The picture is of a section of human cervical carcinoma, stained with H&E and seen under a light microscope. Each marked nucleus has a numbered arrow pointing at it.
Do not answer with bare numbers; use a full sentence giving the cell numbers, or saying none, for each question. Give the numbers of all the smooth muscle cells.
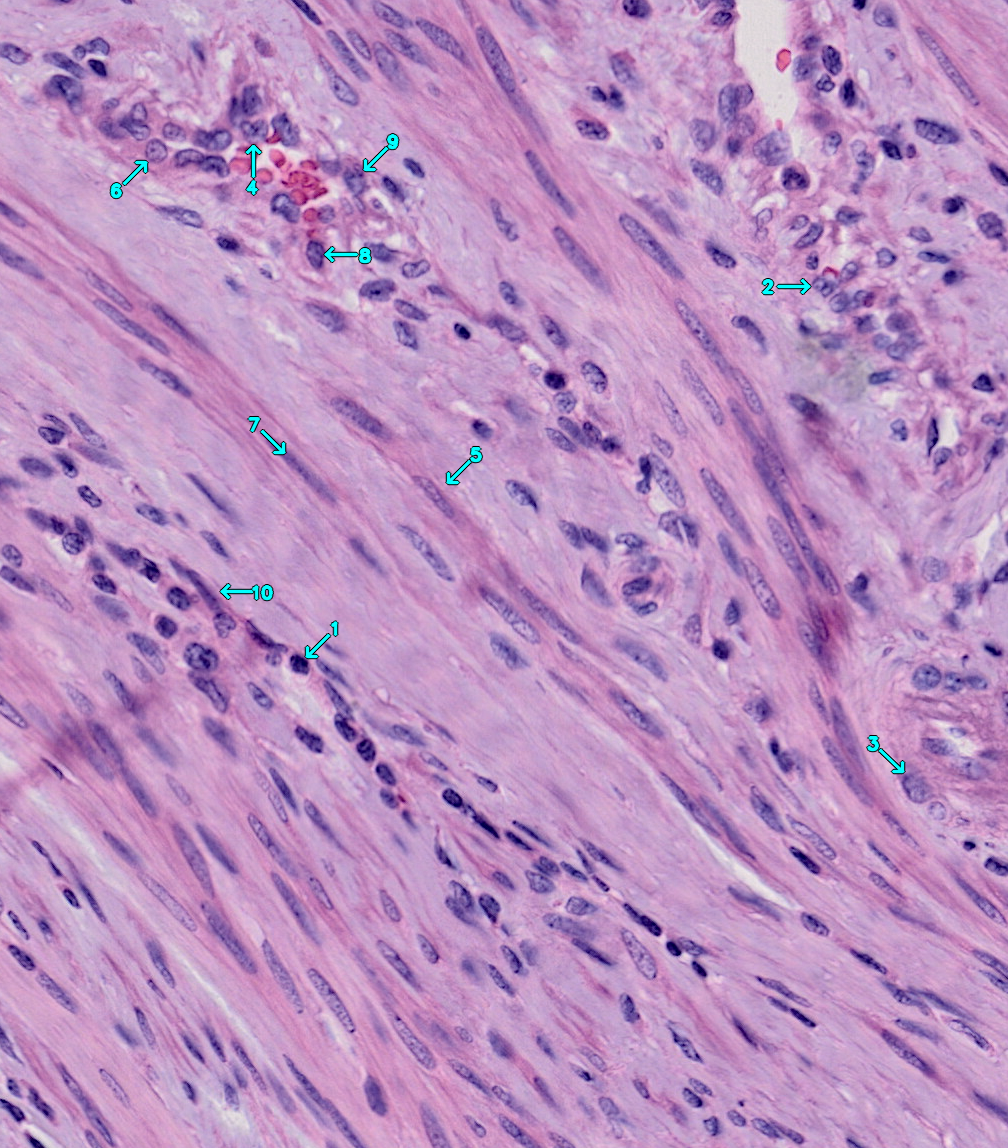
The cells the numbers 3, 5 and 7 point to are smooth muscle cells.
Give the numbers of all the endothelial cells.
Here, the cells that carry numbers 2, 4, 6, 8, 9 and 10 are endothelial cells.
